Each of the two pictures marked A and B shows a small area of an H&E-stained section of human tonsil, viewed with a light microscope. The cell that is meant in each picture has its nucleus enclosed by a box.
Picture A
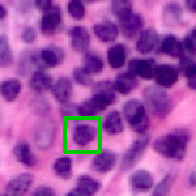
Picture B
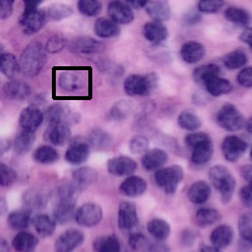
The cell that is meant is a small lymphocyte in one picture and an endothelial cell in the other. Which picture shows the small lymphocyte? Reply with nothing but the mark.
A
